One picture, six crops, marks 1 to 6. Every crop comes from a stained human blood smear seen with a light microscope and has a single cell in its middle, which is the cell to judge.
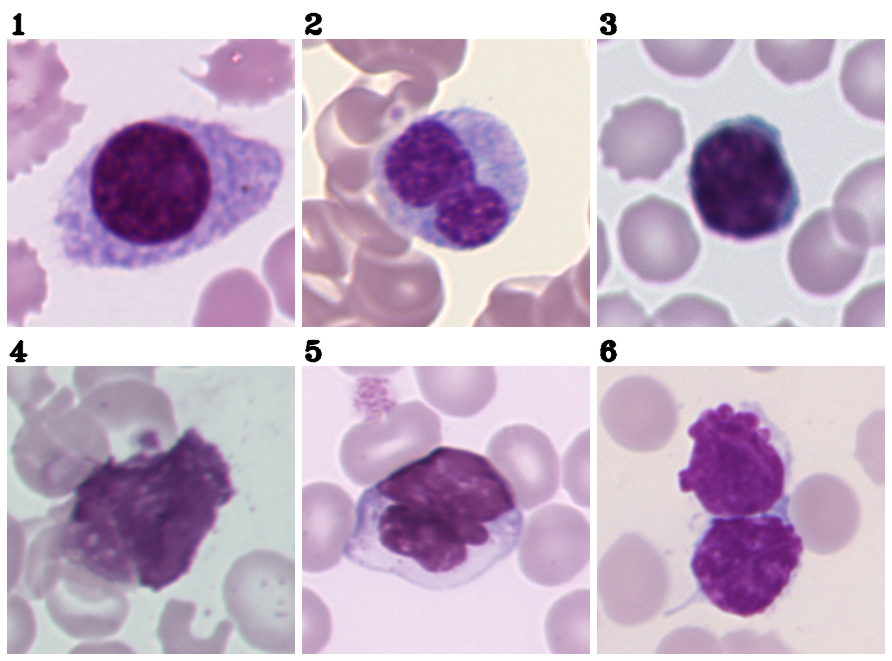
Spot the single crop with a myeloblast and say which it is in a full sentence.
Crop 6 matches the request, showing a myeloblast.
